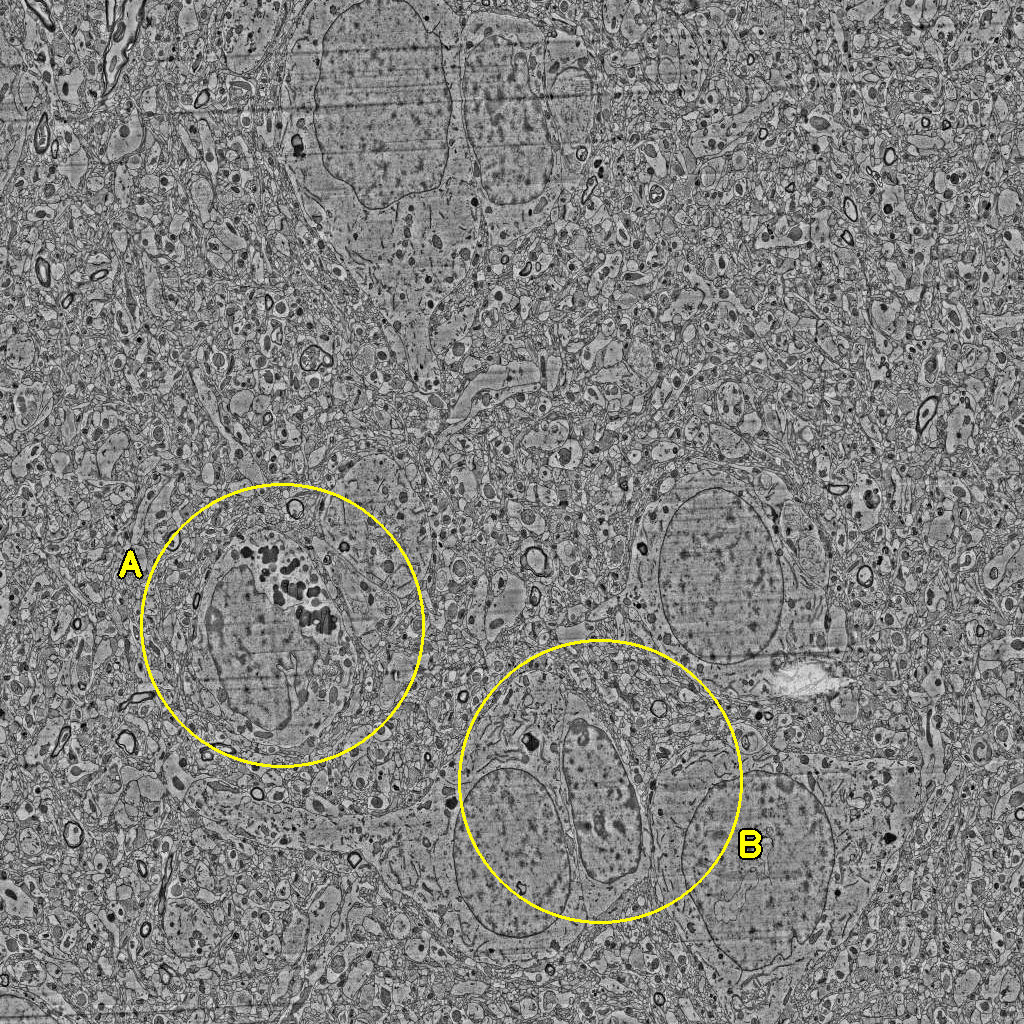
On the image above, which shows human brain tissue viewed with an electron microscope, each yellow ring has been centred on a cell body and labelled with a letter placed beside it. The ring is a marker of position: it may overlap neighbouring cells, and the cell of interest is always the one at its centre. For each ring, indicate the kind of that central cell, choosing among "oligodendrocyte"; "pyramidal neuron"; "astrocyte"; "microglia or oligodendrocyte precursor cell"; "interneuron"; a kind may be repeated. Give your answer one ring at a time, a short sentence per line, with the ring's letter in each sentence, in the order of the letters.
Ring A shows an interneuron at its centre.
Ring B shows a microglial cell or oligodendrocyte precursor cell at its centre.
